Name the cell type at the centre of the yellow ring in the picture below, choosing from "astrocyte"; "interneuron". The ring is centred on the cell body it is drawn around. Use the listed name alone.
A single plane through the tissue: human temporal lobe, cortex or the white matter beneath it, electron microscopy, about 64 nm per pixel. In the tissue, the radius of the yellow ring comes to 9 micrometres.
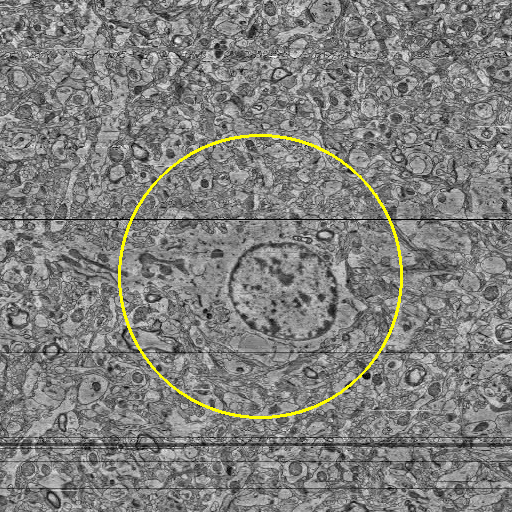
astrocyte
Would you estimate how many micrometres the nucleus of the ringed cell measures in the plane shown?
Approximately 7 x 6 micrometres in this plane.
